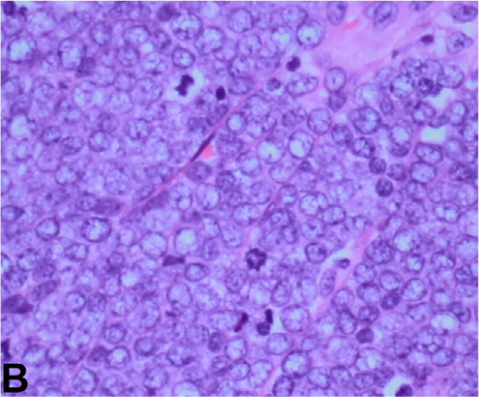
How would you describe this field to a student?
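This is a sheet of closely packed, rather uniform round cells stained with hematoxylin and eosin. Each cell has a large round to oval nucleus with finely speckled chromatin and only a thin rim of pale cytoplasm. Several cells are in division, seen as dark, clumped, irregular chromosome masses scattered through the field. Thin pink strands of connective tissue run diagonally between groups of cells. The cells show no gland or other organized arrangement, just a diffuse solid growth.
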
